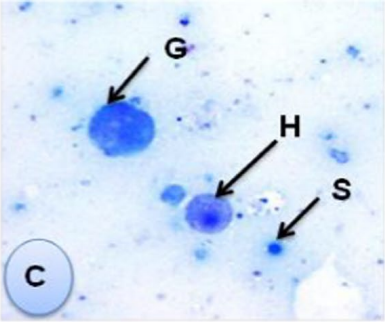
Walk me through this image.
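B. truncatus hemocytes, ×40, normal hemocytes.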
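This field shows three kinds of snail blood cells side by side: a granulocyte, a hyalinocyte and a small round cell. Below and to the right, the hyalinocyte is smaller and round, with a darker, centrally placed nucleus surrounded by a rim of paler blue cytoplasm. Further down to the right lies a much smaller round cell that stains an even, deep blue. Around them the background is pale with a few scattered small blue specks.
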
